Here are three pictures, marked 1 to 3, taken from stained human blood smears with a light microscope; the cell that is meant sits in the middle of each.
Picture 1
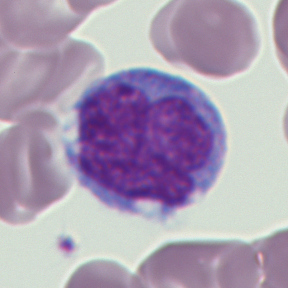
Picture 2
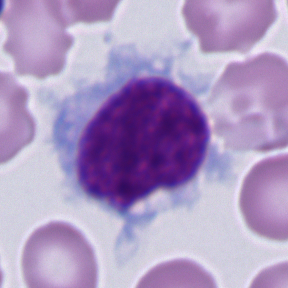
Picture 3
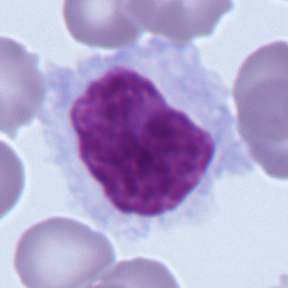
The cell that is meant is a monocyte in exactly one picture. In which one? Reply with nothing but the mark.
1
